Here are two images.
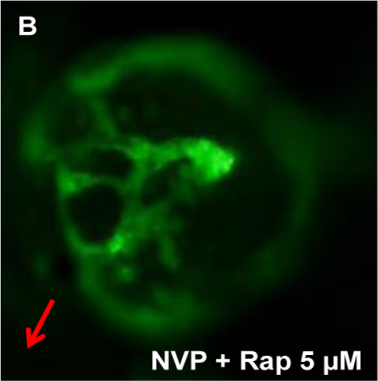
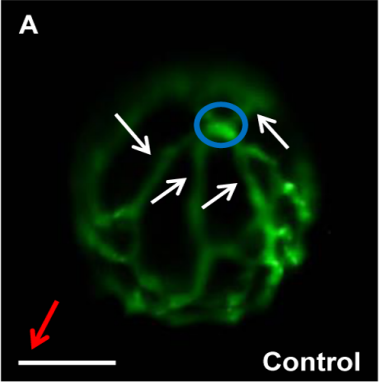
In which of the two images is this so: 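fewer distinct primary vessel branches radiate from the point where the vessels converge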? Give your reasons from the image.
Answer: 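Second image: several separate thin vessels radiate from a bright point near the top and reach a mesh around the rim. First image: the vessels form a small tangled cluster in the middle with few clear branches running out, and the rim is mostly a diffuse glow.
Conclusion: the first image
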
